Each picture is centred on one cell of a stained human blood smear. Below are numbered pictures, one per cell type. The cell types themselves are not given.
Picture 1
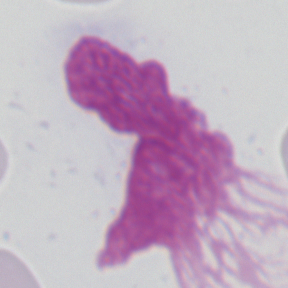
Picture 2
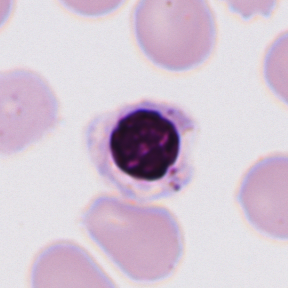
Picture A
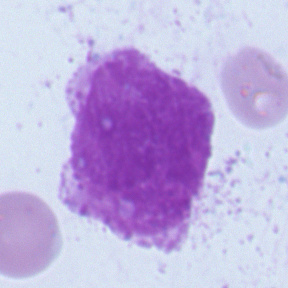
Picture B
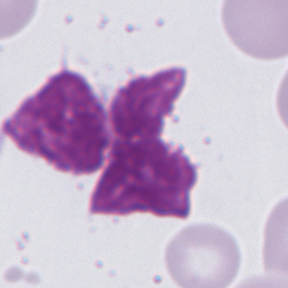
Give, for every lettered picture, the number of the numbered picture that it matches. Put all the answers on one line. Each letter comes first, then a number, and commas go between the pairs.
A 1, B 1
